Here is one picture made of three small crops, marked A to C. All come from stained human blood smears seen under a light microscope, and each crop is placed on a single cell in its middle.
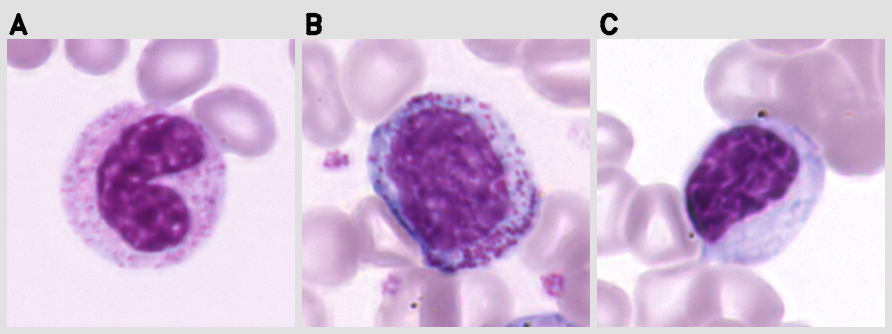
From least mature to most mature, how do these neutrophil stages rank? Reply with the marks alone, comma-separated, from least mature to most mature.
B, C, A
